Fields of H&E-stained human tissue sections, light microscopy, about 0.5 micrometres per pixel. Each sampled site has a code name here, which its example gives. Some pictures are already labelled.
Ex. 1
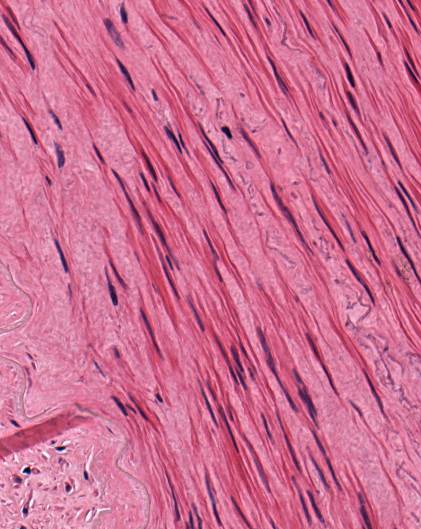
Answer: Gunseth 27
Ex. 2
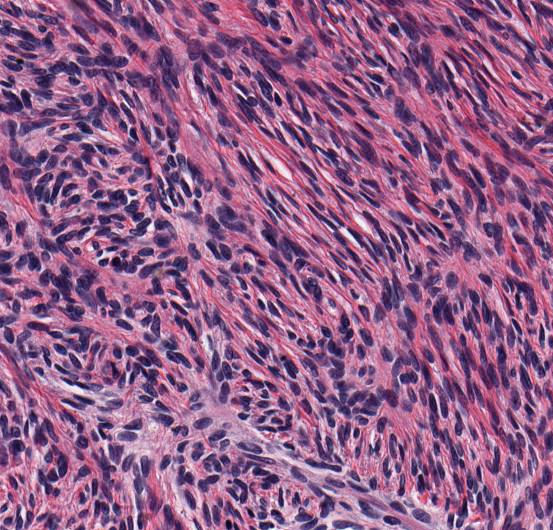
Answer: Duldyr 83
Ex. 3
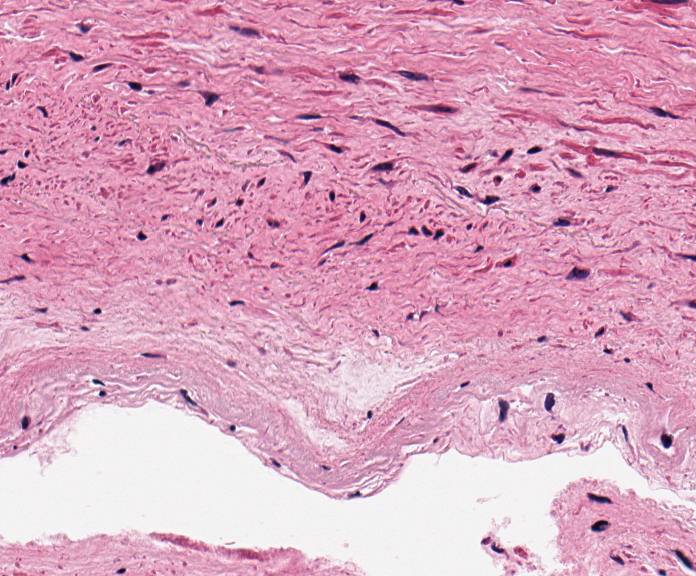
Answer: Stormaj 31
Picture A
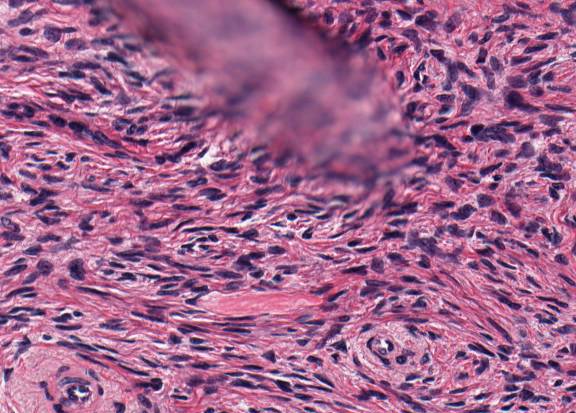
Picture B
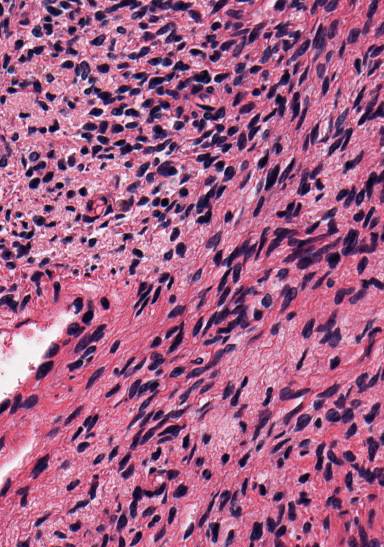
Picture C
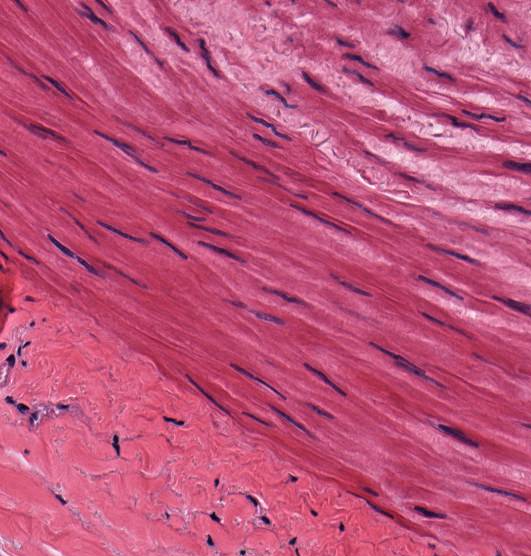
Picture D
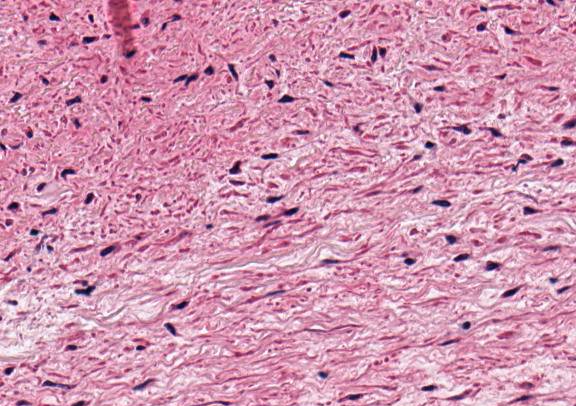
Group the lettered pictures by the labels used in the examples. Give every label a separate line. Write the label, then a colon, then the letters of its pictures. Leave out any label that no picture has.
Gunseth 27: C
Duldyr 83: A, B
Stormaj 31: D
